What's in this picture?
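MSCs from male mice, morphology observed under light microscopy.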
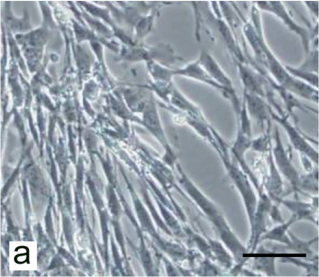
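Most cells are elongated and spindle-shaped, resembling fibroblasts, with long tapering ends. They lie roughly parallel to each other, forming streams across the dish. Some cells are broader and flattened with pale, spread cytoplasm.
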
